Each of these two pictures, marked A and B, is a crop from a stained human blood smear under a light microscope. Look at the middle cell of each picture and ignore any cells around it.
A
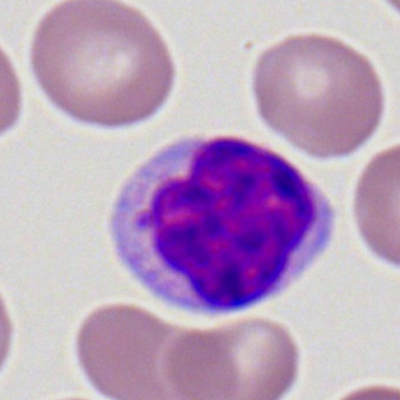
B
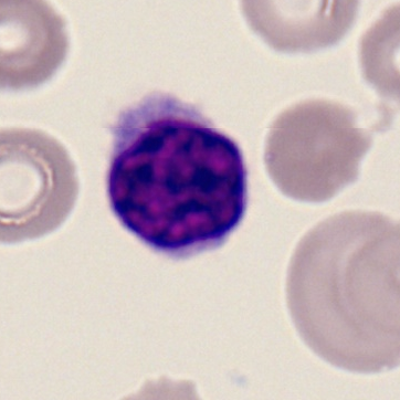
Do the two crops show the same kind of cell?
yes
